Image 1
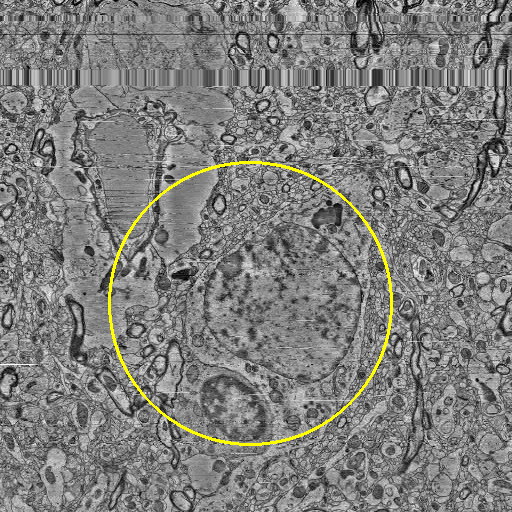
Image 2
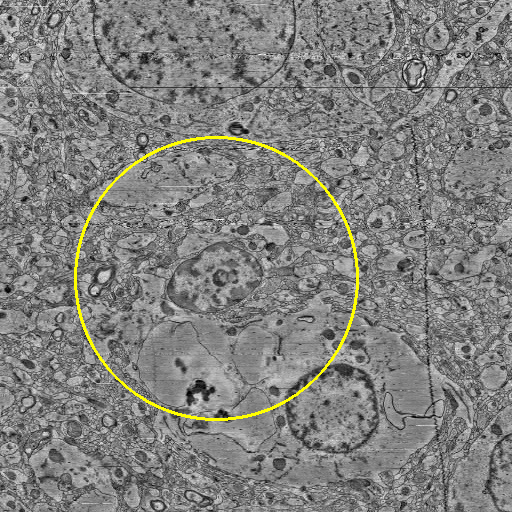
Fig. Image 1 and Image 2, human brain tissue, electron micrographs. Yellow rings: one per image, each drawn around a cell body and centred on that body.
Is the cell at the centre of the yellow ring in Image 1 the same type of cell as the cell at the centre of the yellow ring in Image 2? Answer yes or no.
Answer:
no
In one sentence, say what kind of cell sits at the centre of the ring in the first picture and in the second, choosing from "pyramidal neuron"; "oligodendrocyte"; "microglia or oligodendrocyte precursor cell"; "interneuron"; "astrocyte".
The first picture's ringed cell is an interneuron, while the second picture's is a microglial cell or oligodendrocyte precursor cell.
